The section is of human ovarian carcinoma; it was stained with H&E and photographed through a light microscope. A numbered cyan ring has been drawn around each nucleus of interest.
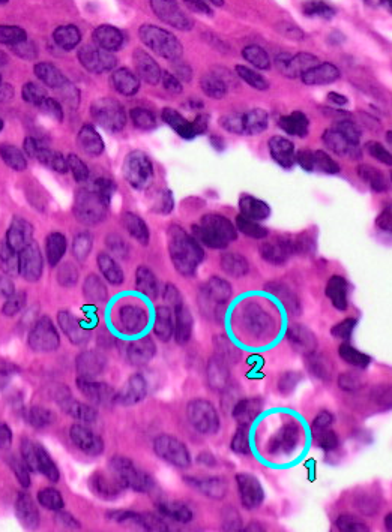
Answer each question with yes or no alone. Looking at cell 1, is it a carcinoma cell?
no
